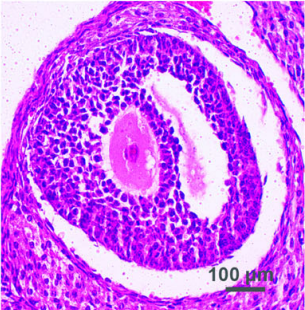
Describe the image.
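This is an antral follicle of the ovary, with a pink oocyte embedded in a mound of granulosa cells next to a pale crescent-shaped fluid-filled antrum. The granulosa cells are small, with dark purple nuclei, and are stacked in many compact layers around the follicle.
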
